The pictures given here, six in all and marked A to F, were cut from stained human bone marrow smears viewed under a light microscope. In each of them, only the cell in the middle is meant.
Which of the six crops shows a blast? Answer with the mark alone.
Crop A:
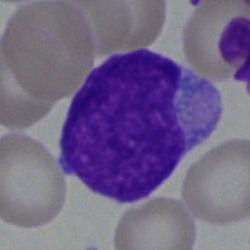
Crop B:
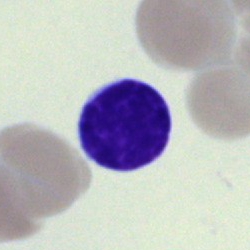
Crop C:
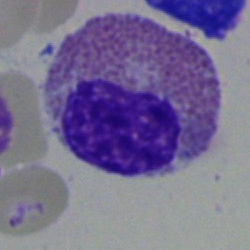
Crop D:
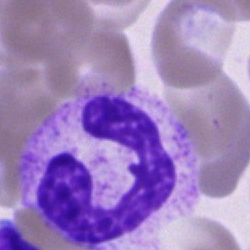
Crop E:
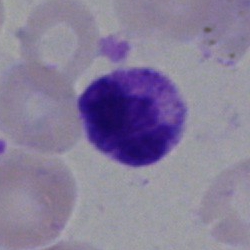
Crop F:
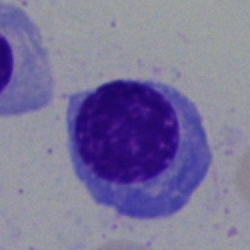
A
